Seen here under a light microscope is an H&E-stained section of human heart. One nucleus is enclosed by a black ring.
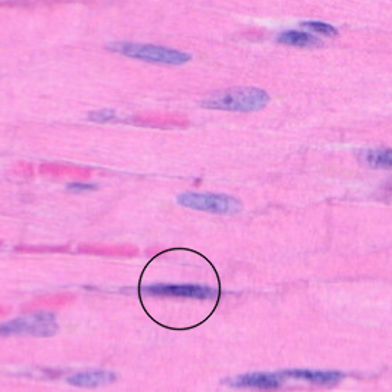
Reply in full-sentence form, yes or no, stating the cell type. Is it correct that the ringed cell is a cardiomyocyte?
No, the right answer is that the ringed cell is an endothelial cell, not a cardiomyocyte.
